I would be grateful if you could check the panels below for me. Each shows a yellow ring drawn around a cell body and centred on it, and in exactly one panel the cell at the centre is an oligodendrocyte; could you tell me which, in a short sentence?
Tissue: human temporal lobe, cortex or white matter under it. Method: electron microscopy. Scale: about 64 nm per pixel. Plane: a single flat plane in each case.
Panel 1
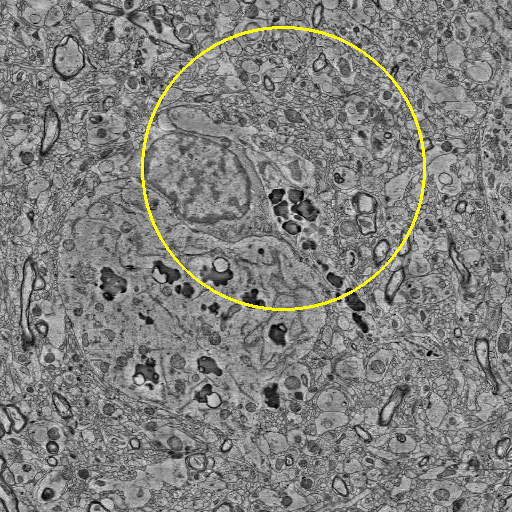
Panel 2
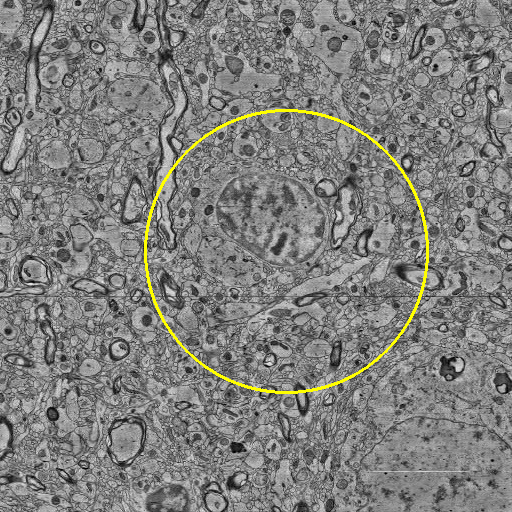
The ring in Panel 2 is centred on it.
